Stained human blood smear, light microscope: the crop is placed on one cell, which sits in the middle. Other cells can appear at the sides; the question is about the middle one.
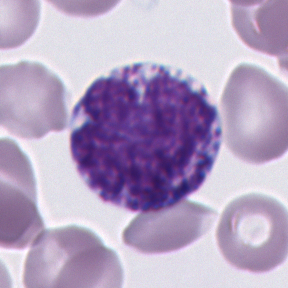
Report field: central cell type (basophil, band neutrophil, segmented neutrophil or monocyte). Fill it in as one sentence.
Centred in the crop is a basophil.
